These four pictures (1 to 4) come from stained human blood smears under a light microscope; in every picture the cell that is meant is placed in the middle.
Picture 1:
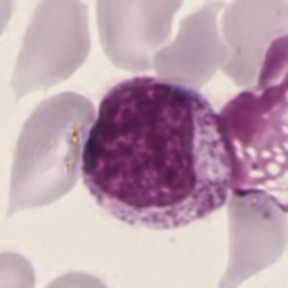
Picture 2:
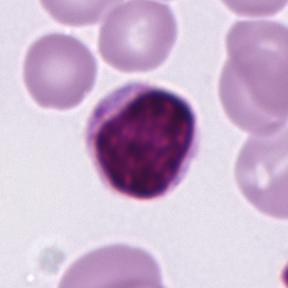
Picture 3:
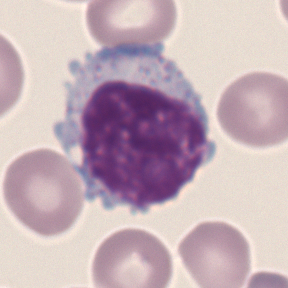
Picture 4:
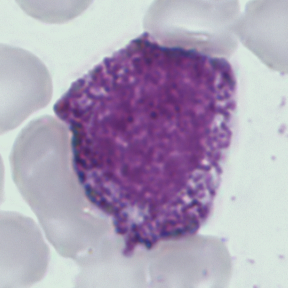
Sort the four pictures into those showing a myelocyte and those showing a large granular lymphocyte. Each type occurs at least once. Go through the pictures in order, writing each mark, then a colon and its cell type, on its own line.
1: myelocyte
2: large granular lymphocyte
3: large granular lymphocyte
4: myelocyte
